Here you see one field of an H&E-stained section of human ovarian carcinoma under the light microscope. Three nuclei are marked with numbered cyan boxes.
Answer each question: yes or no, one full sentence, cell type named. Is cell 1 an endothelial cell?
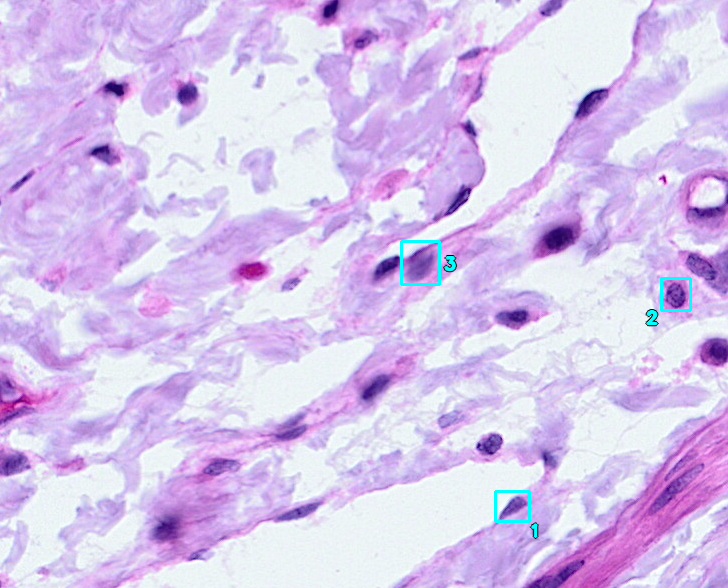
Yes, the cell distinguished by number 1 is an endothelial cell.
